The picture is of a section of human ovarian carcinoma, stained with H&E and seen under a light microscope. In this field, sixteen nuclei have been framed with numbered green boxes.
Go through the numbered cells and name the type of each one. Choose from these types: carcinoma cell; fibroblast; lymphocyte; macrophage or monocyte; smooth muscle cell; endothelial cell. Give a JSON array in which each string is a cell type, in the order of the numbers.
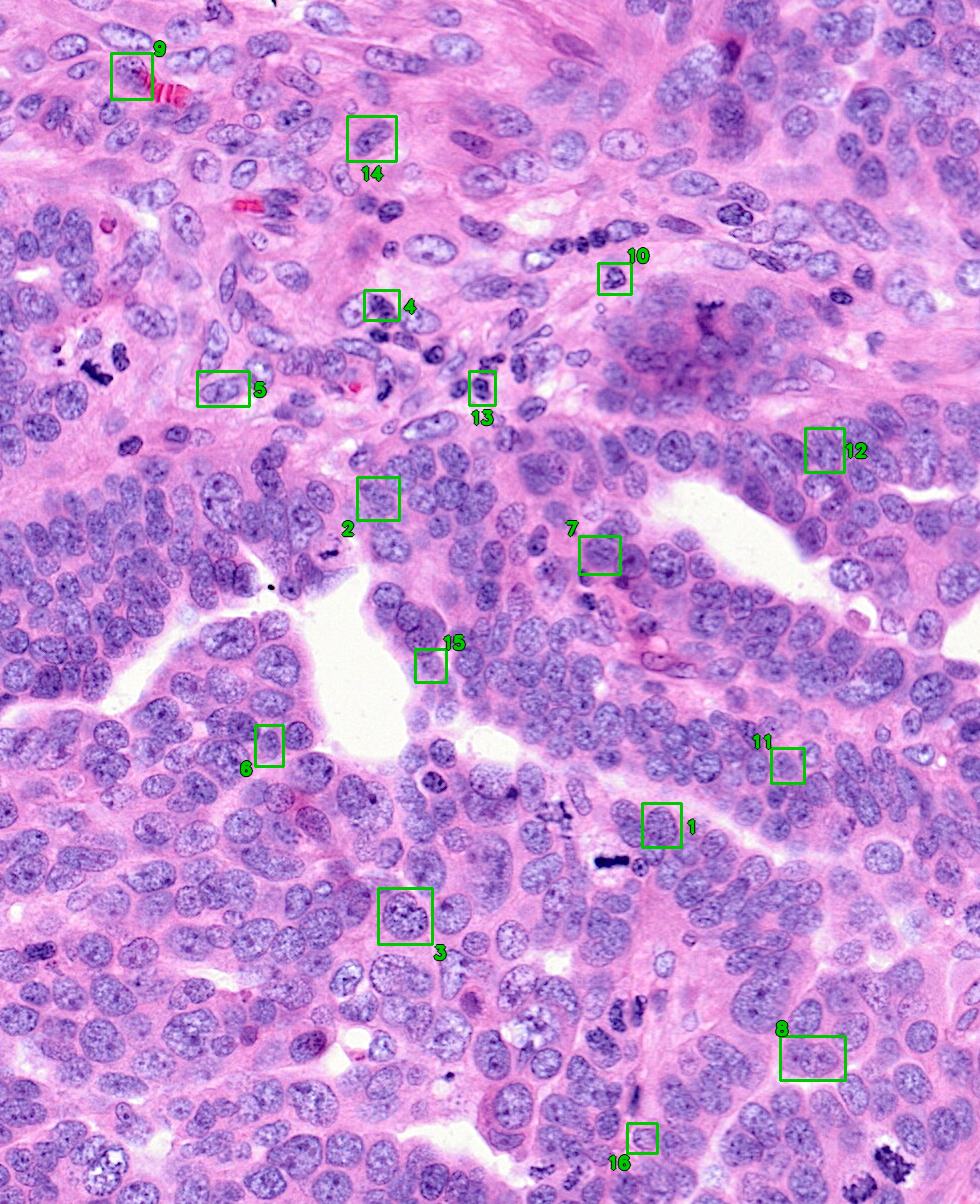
["carcinoma cell", "carcinoma cell", "carcinoma cell", "lymphocyte", "fibroblast", "carcinoma cell", "carcinoma cell", "carcinoma cell", "endothelial cell", "lymphocyte", "carcinoma cell", "carcinoma cell", "lymphocyte", "macrophage or monocyte", "carcinoma cell", "macrophage or monocyte"]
